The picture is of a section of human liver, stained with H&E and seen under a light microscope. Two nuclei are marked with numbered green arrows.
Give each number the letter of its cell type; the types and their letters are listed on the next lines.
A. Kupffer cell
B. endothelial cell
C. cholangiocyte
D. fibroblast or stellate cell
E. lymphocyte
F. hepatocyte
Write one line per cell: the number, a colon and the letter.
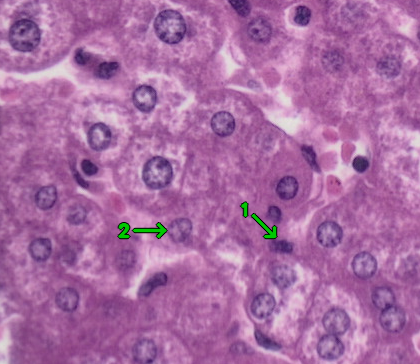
1: D
2: F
